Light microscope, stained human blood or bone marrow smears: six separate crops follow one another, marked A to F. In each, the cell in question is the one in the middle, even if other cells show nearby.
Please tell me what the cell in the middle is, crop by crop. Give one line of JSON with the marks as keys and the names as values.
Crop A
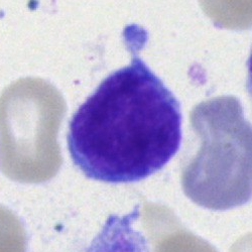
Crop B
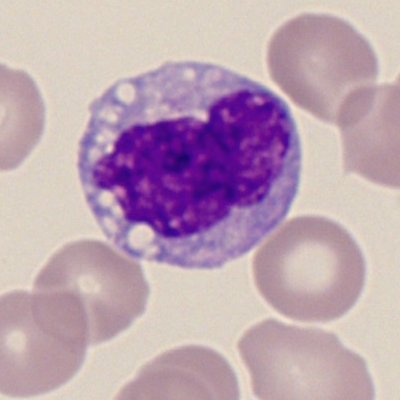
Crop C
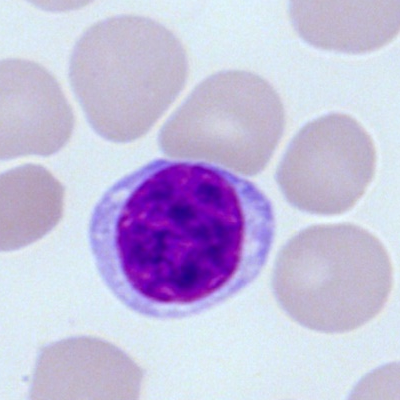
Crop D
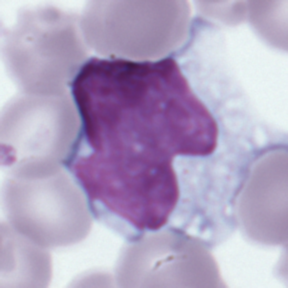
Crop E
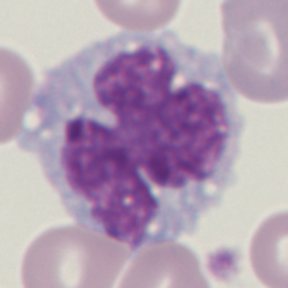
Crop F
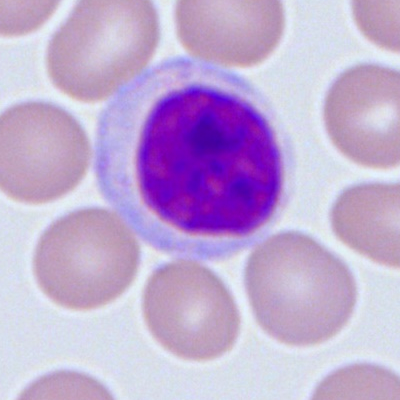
{"A": "lymphocyte", "B": "monocyte", "C": "lymphocyte", "D": "monocyte", "E": "monocyte", "F": "lymphocyte"}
